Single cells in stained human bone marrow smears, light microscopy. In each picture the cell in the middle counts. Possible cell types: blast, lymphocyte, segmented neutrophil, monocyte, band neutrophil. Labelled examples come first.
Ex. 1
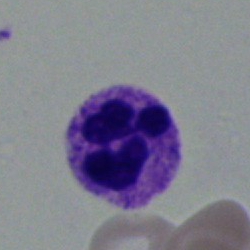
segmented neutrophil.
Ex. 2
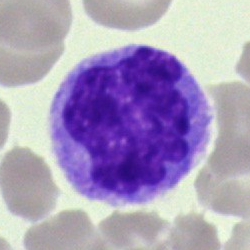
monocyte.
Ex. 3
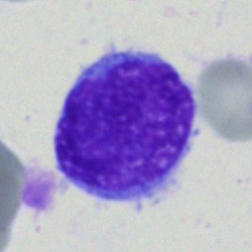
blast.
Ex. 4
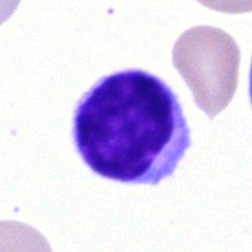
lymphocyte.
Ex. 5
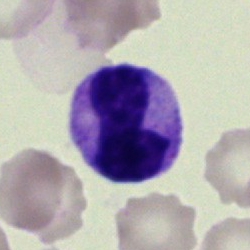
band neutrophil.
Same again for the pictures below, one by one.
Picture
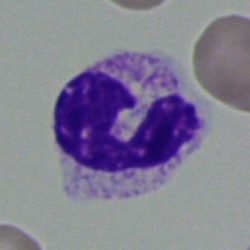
band neutrophil.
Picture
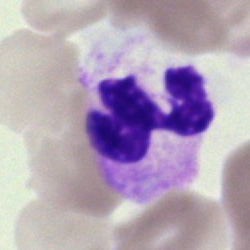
segmented neutrophil.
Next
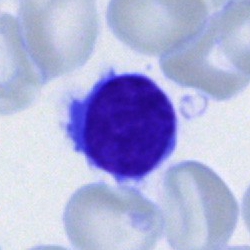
lymphocyte.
